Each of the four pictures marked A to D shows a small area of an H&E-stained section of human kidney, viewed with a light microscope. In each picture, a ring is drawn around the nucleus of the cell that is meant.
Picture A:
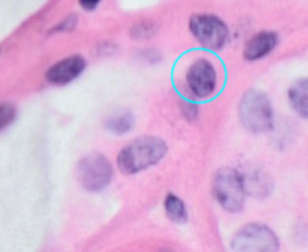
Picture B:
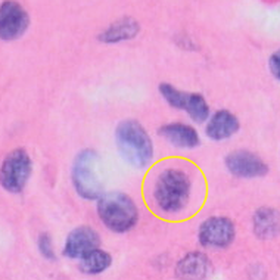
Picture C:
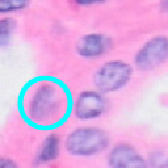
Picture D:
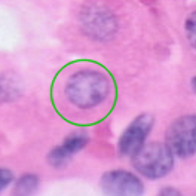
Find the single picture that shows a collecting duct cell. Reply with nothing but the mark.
A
